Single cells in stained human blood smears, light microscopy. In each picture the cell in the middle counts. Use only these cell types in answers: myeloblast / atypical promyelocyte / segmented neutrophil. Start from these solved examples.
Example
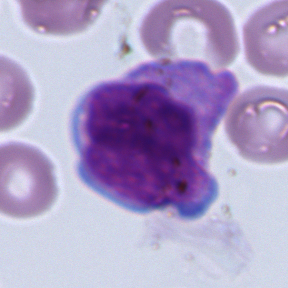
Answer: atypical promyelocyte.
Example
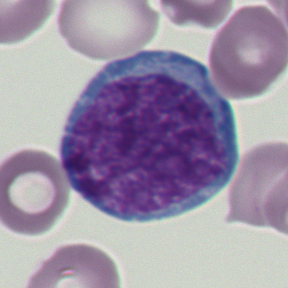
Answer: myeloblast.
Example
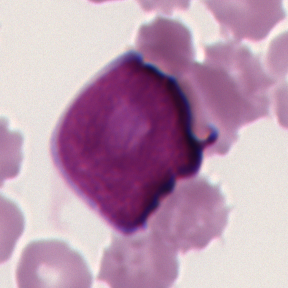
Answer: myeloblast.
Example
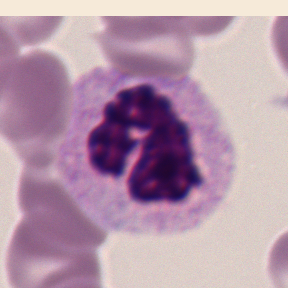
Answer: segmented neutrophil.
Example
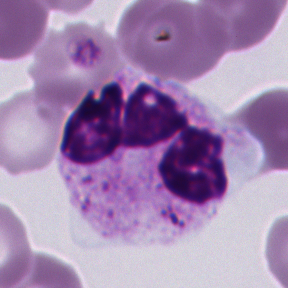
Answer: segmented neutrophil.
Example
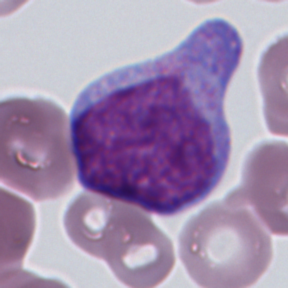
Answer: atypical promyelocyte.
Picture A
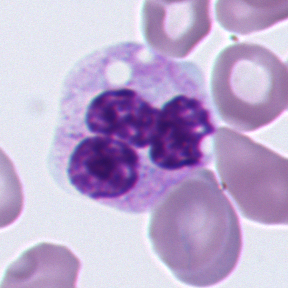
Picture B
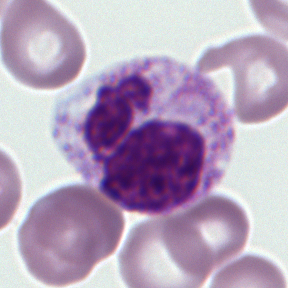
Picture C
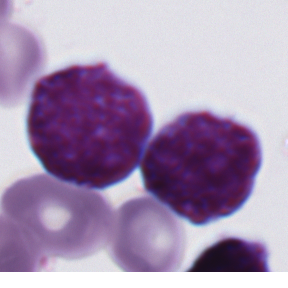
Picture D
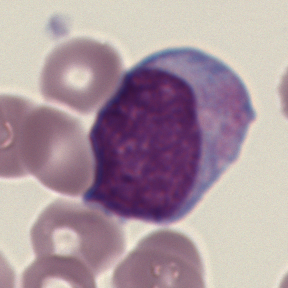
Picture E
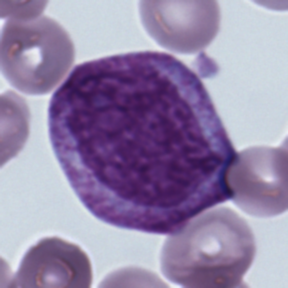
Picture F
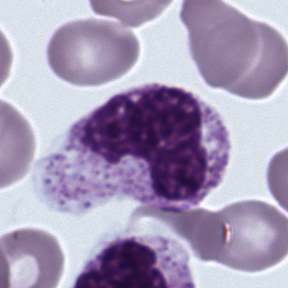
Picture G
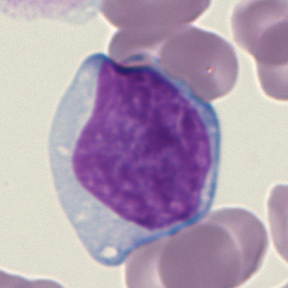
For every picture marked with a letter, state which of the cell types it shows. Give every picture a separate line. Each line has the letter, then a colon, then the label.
A: segmented neutrophil.
B: segmented neutrophil.
C: myeloblast.
D: atypical promyelocyte.
E: atypical promyelocyte.
F: segmented neutrophil.
G: myeloblast.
